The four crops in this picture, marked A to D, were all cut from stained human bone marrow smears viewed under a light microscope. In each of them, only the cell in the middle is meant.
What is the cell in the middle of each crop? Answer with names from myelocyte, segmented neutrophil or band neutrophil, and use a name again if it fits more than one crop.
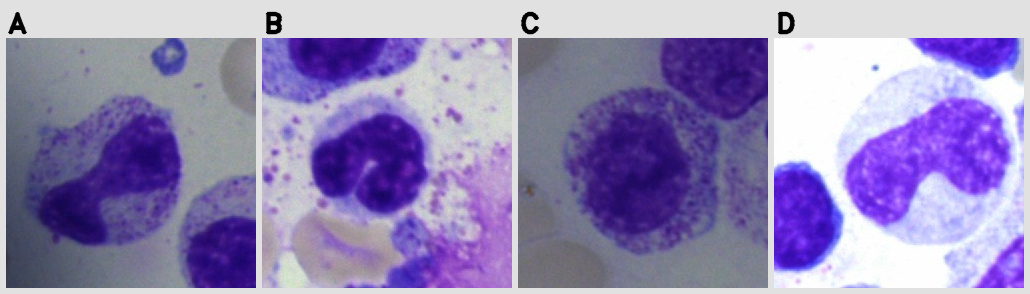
A: band neutrophil
B: band neutrophil
C: myelocyte
D: band neutrophil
